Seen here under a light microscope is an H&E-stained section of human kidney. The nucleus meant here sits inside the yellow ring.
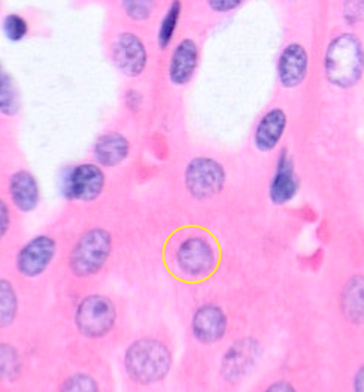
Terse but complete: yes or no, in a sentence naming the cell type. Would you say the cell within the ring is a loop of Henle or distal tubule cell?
No, the cell within the ring counts as a proximal tubule cell rather than as a loop of Henle or distal tubule cell.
